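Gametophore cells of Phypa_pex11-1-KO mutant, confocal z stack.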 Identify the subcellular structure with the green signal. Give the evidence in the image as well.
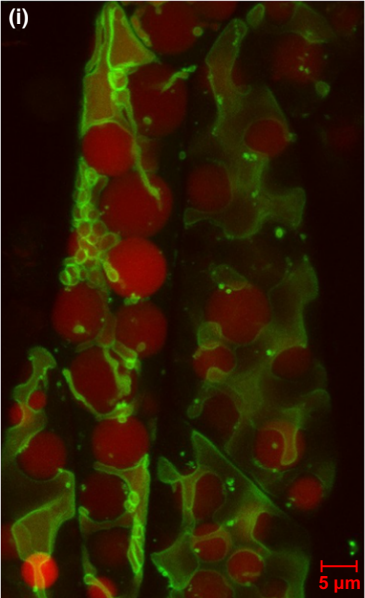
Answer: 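Thin green lines outline irregular compartments within the cells. The green lines bend around the large red bodies. On this evidence: vacuolar membrane.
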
